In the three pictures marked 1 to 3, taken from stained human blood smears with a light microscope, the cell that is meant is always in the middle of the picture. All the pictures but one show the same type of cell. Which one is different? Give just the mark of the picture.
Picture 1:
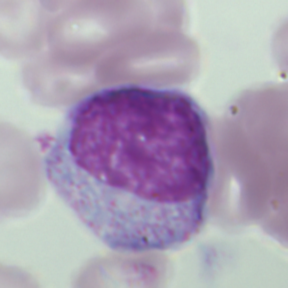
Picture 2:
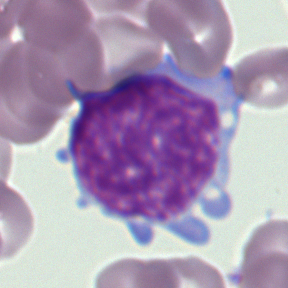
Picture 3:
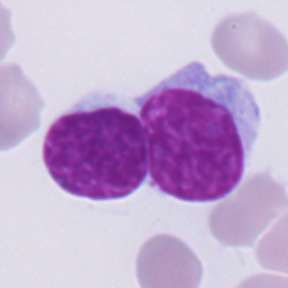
1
